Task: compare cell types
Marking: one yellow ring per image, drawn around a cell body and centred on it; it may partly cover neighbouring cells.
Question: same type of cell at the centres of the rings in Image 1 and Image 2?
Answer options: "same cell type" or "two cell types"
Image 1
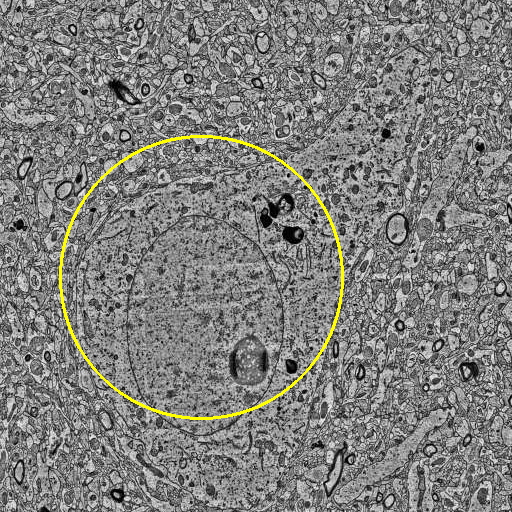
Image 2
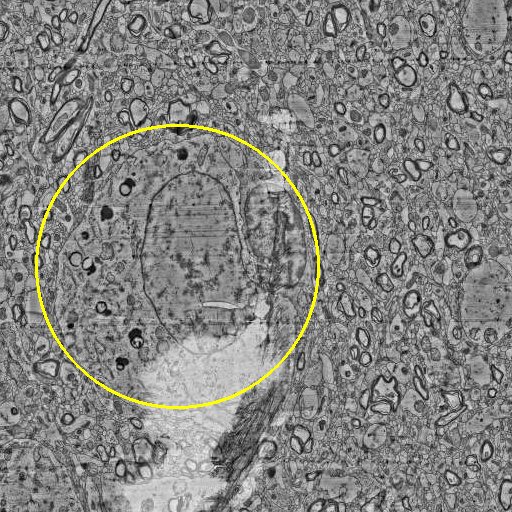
same cell type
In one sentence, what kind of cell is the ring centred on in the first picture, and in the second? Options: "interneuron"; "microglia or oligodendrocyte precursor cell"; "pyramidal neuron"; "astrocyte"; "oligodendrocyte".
Each cell, in the first picture and the second, is a pyramidal neuron.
